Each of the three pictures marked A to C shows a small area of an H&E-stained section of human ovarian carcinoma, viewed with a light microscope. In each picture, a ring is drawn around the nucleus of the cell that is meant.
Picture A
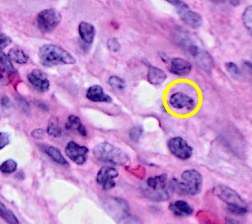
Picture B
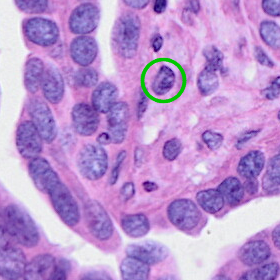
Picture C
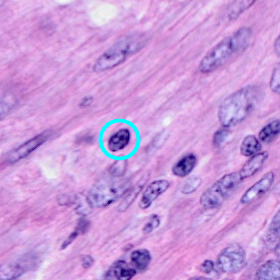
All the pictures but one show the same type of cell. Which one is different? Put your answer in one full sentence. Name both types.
Unlike the rest, which show lymphocytes, picture B shows a “macrophage or monocyte”.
